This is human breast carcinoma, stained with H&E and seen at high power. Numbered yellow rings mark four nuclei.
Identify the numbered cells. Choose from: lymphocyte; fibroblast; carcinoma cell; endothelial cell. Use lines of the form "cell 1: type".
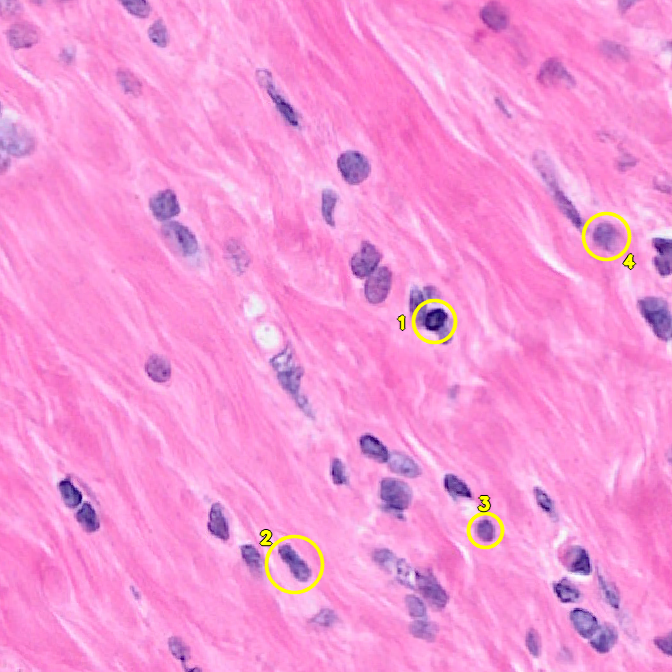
cell 1: lymphocyte
cell 2: lymphocyte
cell 3: lymphocyte
cell 4: fibroblast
